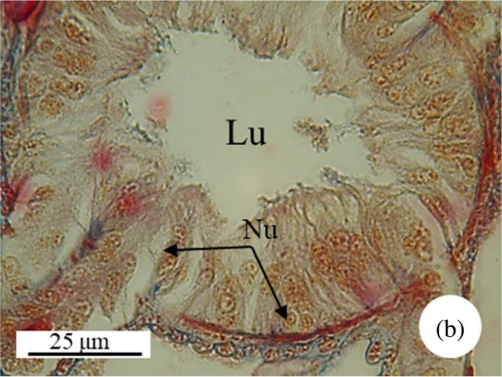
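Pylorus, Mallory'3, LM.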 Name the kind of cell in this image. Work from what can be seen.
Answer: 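A single layer of tall cells lines a central lumen. The cells are much taller than wide. Each cell has one oval nucleus. So: cylindrical epithelial cell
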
